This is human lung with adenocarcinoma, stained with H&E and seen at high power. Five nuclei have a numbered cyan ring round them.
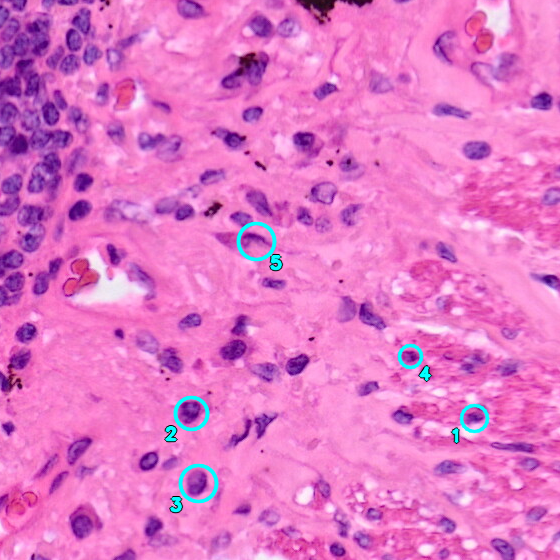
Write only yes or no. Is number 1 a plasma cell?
no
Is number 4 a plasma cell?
no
